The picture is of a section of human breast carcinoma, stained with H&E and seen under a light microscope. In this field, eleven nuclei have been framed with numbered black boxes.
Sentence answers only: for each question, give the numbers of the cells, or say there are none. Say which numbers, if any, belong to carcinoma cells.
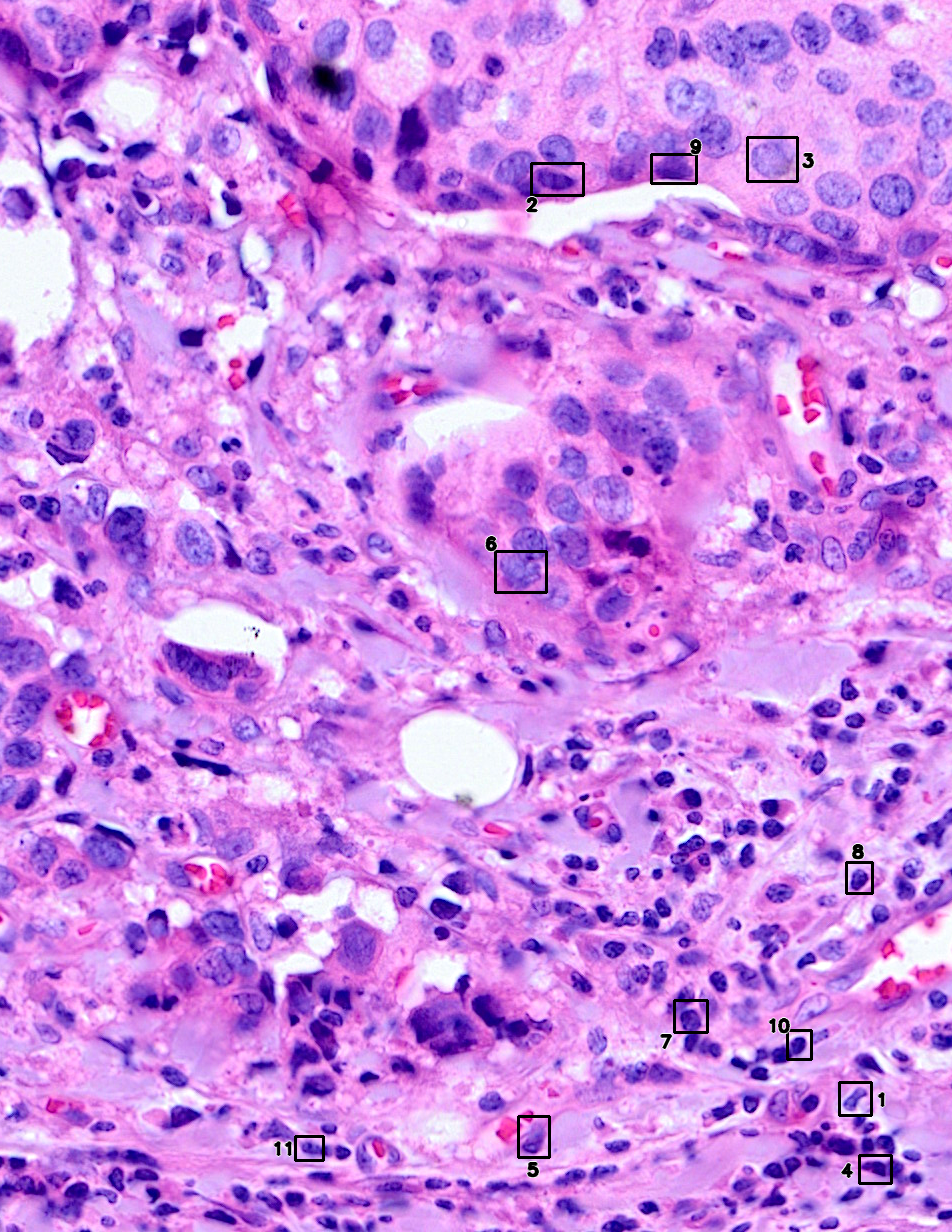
The cells marked by the numbers 2, 3, 6 and 9 are carcinoma cells.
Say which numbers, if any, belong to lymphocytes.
The cells with labels 1, 4, 7, 8, 10 and 11 are lymphocytes.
